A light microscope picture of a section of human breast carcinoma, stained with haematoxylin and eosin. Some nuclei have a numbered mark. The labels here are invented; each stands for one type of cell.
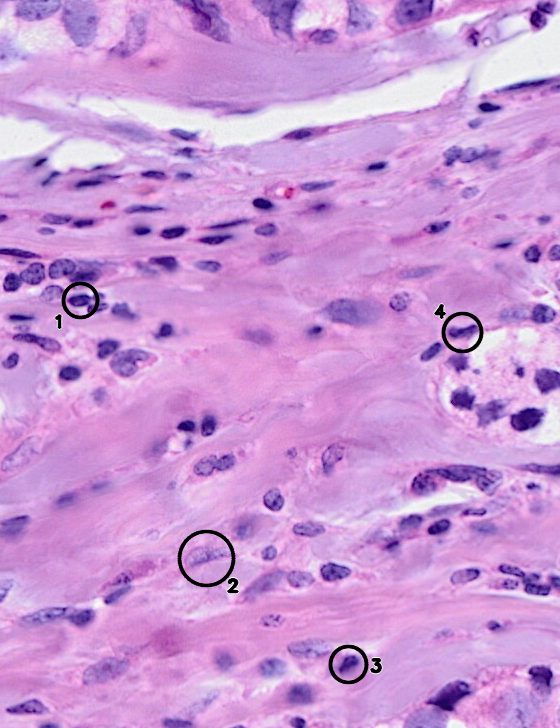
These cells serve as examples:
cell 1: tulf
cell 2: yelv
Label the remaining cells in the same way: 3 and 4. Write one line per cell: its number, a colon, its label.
3: tulf
4: tulf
